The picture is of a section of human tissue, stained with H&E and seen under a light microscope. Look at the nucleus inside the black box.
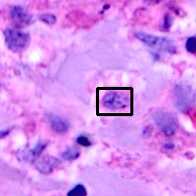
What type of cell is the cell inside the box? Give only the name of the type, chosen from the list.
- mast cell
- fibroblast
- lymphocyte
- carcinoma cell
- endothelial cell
mast cell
